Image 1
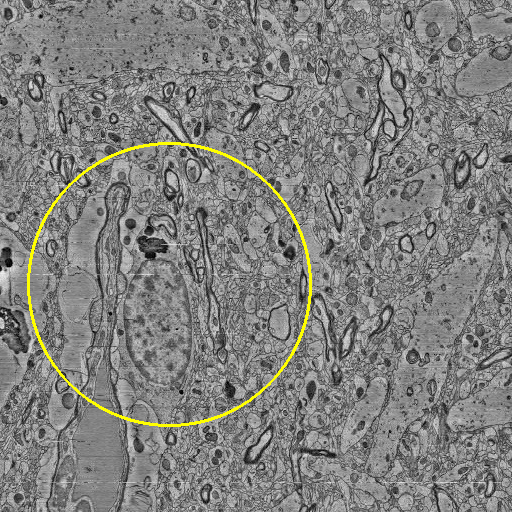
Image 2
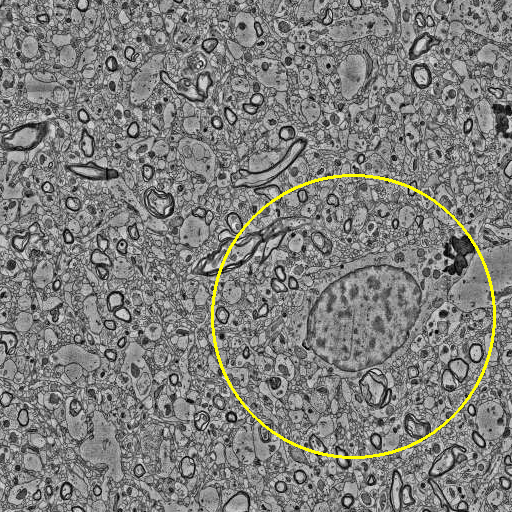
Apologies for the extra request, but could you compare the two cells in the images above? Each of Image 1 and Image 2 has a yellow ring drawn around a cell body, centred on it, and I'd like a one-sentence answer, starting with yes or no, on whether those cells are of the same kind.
Yes, both cells are of the same kind.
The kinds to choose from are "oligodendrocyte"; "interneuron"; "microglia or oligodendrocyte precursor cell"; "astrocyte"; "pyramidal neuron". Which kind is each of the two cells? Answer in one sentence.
In each of the two pictures, the ringed cell is an oligodendrocyte.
